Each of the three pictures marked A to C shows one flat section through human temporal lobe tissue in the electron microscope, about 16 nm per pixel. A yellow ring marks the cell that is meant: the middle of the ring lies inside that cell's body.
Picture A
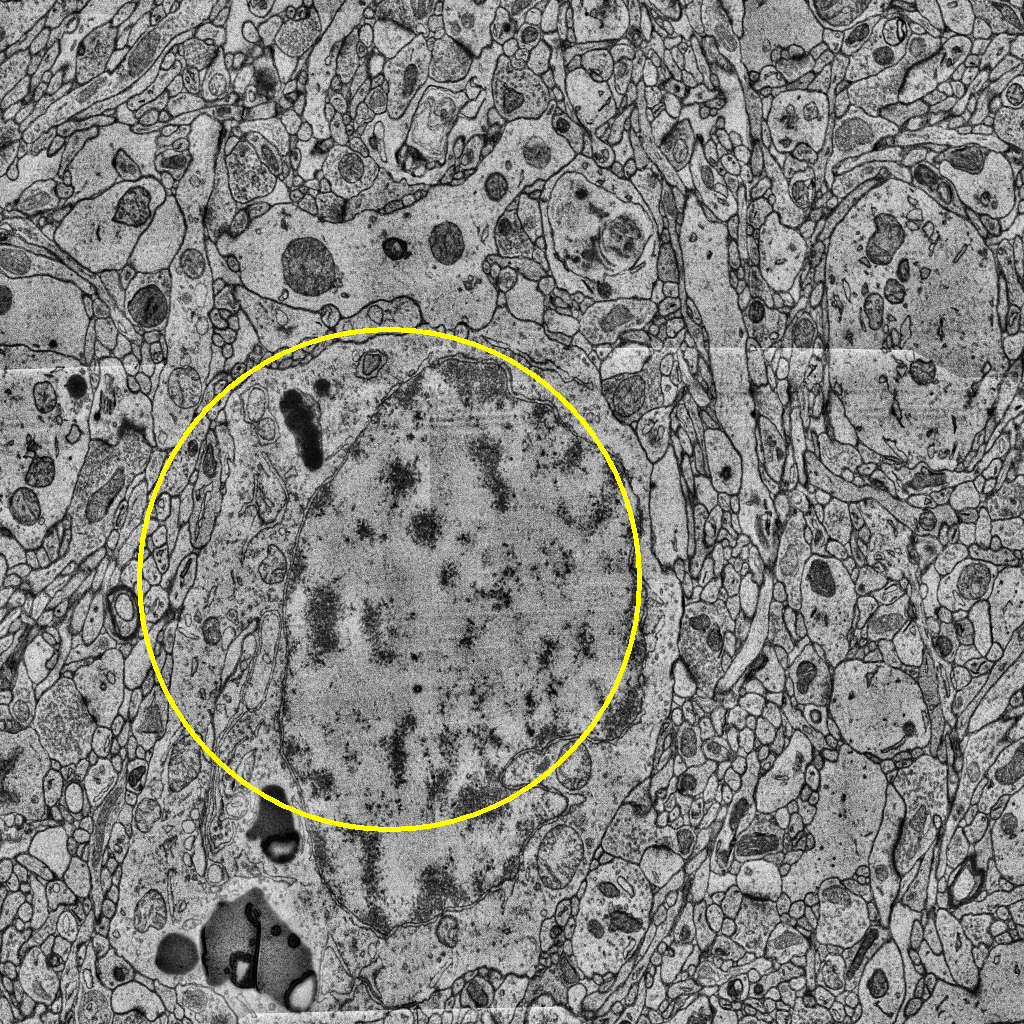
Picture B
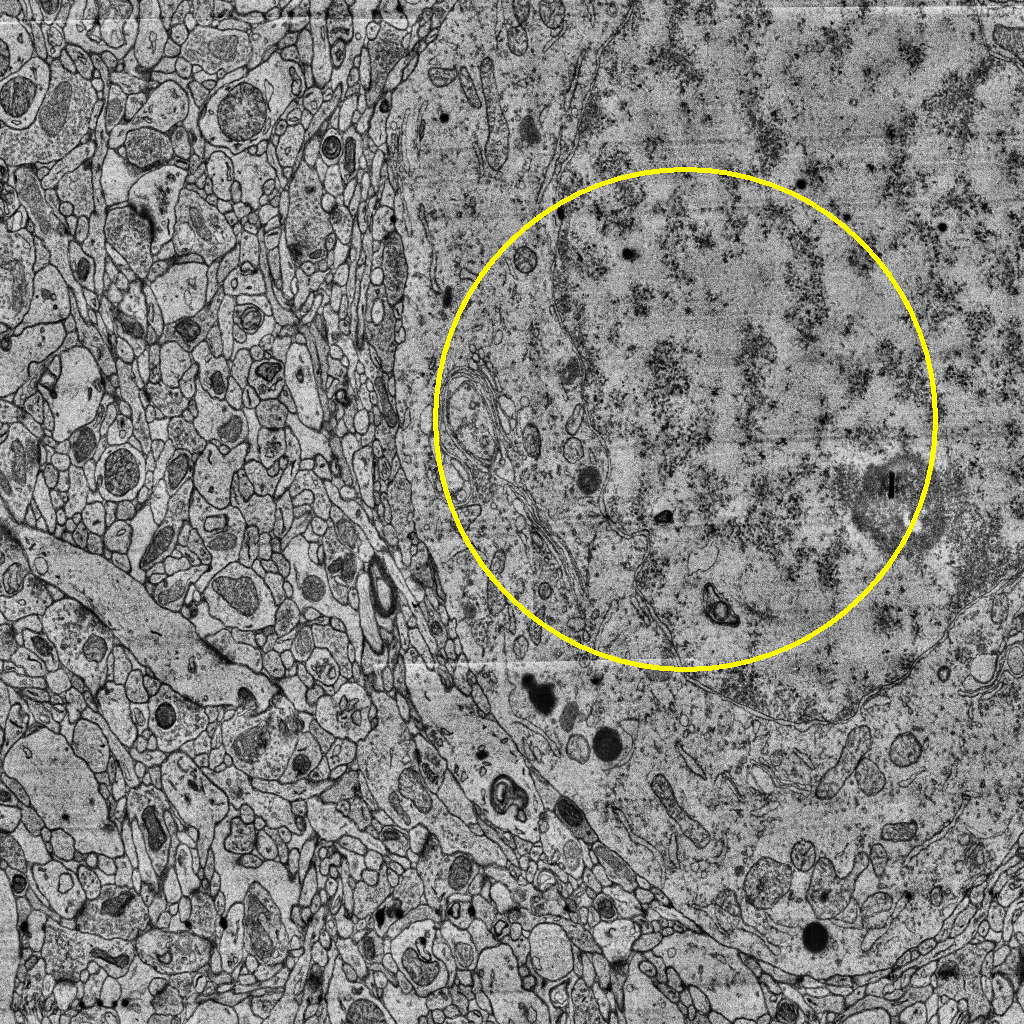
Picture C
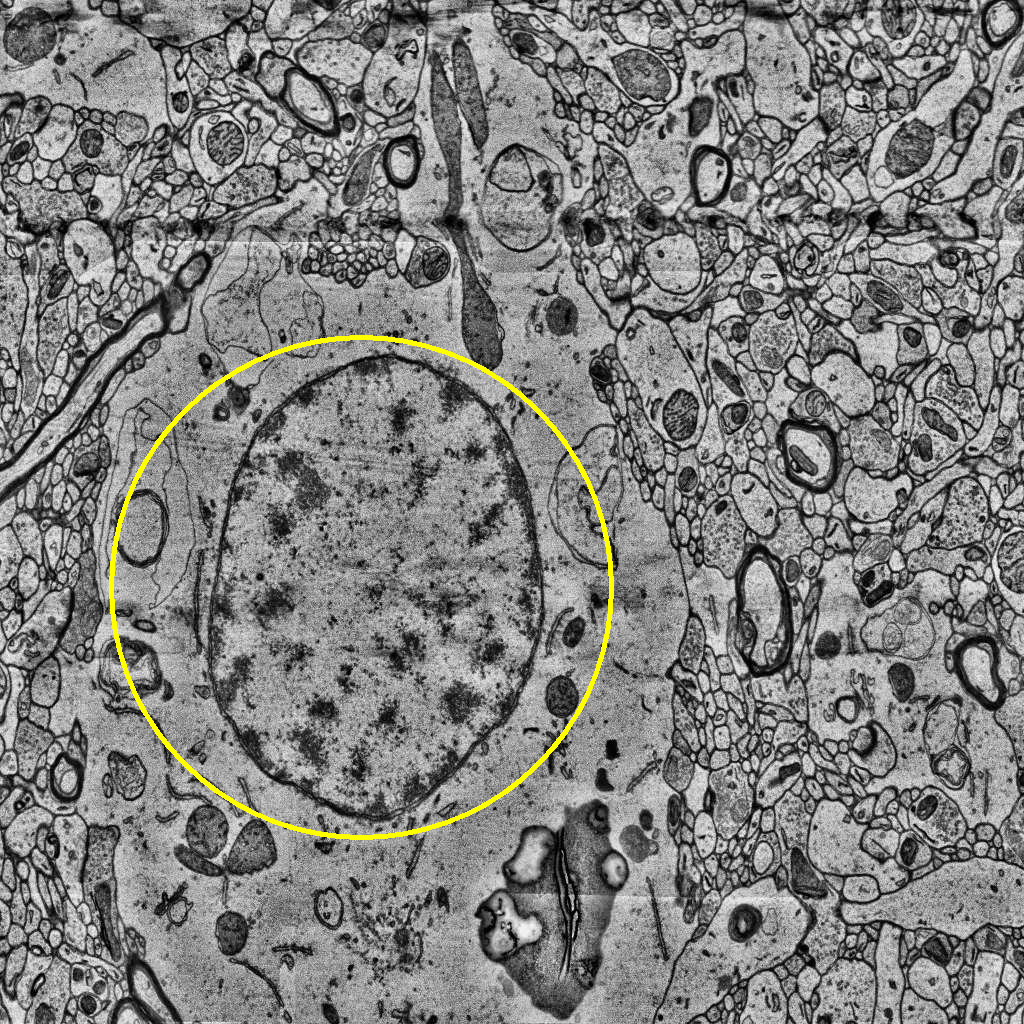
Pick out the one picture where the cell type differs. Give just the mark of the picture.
C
